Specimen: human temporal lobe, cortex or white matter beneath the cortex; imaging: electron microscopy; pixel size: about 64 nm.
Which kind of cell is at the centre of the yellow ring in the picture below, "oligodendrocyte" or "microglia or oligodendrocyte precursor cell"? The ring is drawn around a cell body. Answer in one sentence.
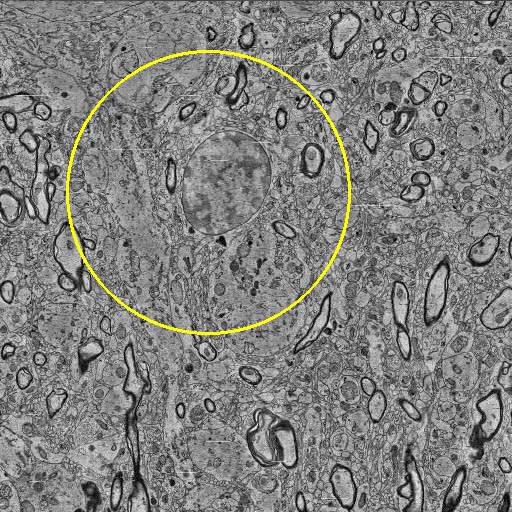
The ring's central cell is a microglial cell or oligodendrocyte precursor cell.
